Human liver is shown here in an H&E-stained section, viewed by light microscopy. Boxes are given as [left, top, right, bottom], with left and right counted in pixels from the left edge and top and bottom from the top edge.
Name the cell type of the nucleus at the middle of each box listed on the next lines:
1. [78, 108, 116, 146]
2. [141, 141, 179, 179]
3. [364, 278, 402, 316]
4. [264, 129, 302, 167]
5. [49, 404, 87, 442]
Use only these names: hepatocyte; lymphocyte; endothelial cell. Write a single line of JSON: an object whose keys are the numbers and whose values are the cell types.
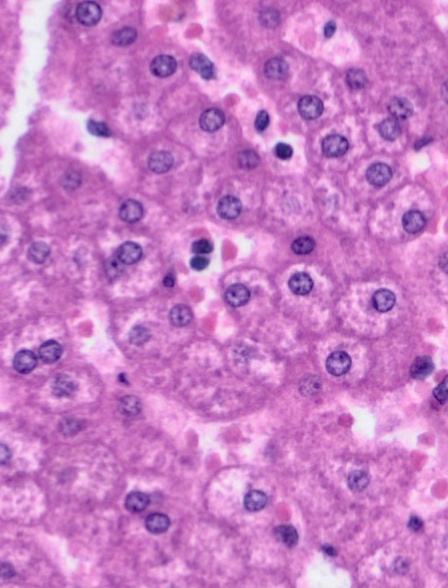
{"1": "endothelial cell", "2": "hepatocyte", "3": "hepatocyte", "4": "lymphocyte", "5": "hepatocyte"}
